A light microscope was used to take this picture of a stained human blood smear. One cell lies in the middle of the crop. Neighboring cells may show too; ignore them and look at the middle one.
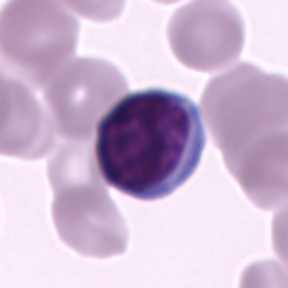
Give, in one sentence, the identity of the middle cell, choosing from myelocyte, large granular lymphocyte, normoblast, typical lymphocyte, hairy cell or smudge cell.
In this smear crop, the middle cell is a typical lymphocyte.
